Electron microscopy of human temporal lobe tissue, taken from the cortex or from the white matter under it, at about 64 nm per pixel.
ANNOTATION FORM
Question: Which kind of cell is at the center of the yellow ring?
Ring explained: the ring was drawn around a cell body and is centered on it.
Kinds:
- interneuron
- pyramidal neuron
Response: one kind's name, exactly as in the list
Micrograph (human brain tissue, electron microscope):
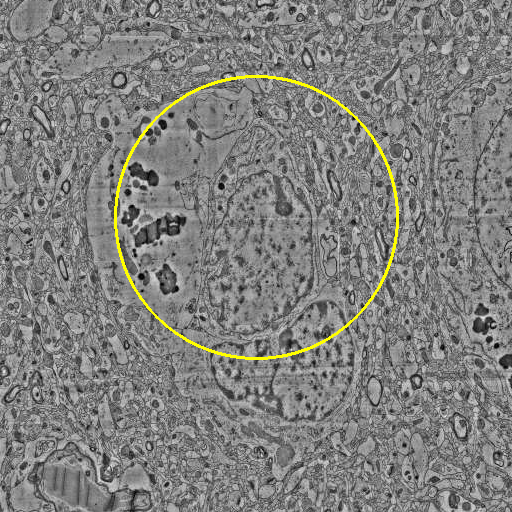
interneuron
